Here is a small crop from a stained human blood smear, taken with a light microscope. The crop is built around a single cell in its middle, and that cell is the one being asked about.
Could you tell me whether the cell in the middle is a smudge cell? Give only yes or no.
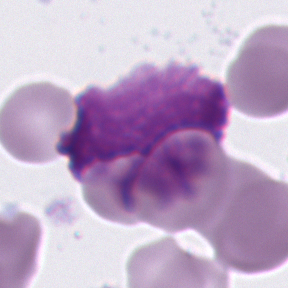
yes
